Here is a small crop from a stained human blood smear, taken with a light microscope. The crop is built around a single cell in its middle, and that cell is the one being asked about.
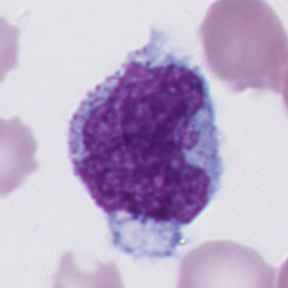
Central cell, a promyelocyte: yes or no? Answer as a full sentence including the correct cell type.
No, instead of being a promyelocyte, the middle cell is a monocyte.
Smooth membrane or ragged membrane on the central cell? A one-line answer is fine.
The boundary of the cell runs irregularly, ragged in parts or drawn into projections.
